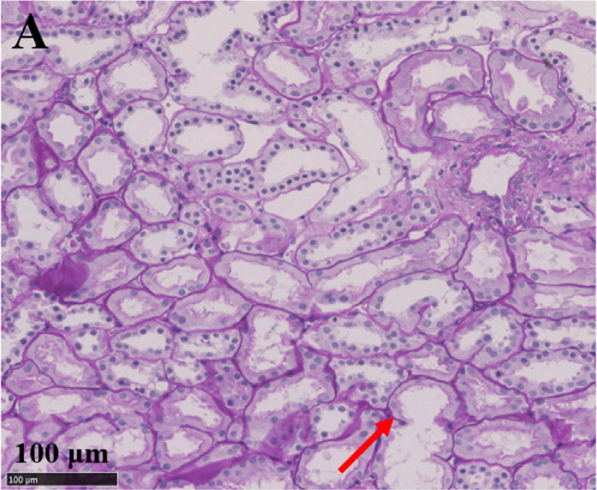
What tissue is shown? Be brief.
Renal tubules.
